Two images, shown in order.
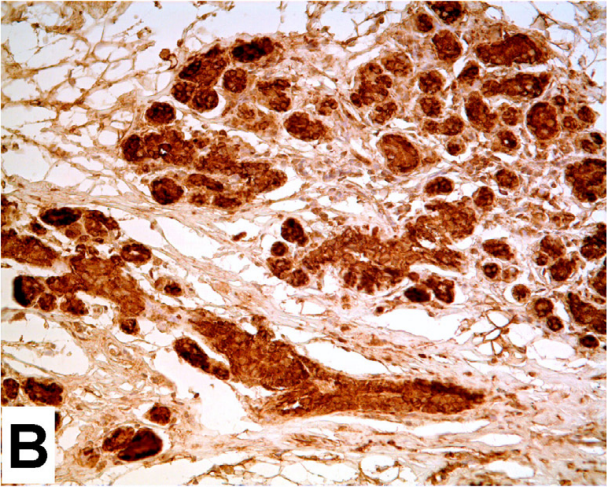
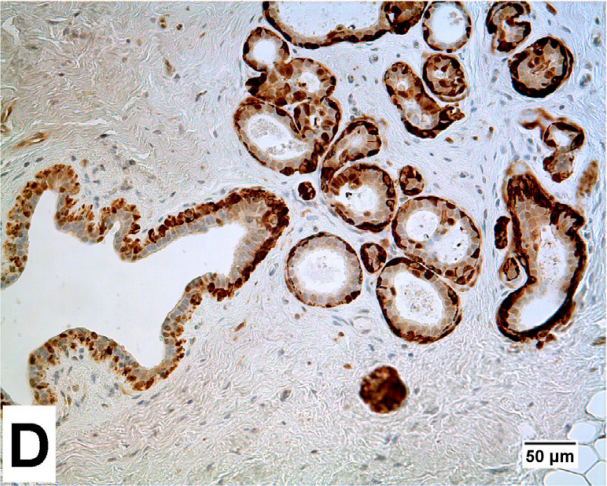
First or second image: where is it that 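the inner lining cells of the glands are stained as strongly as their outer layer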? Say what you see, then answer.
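Second image: glands have a dark brown outer rim with lightly stained inner lining cells. First image: glandular clusters are dark brown throughout, with no pale inner layer. So: the first image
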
